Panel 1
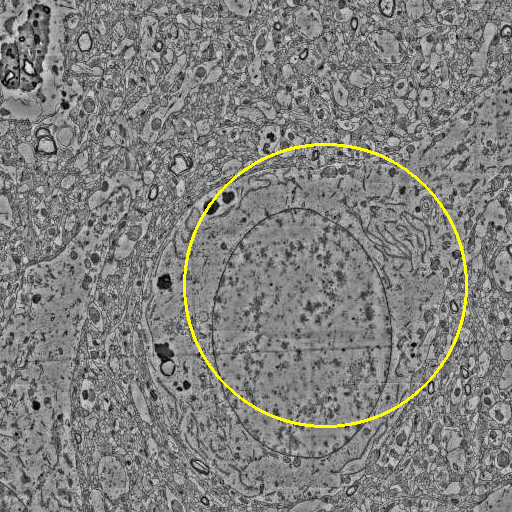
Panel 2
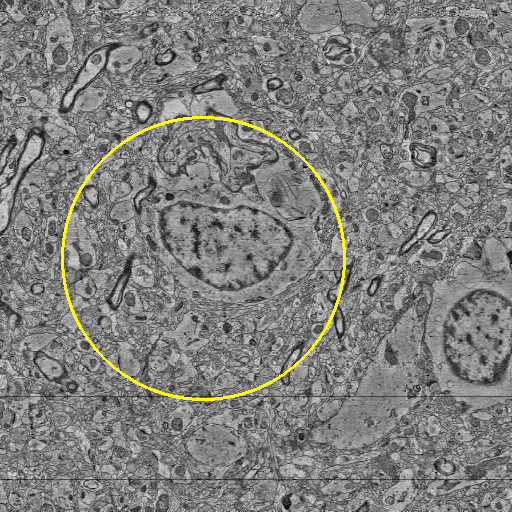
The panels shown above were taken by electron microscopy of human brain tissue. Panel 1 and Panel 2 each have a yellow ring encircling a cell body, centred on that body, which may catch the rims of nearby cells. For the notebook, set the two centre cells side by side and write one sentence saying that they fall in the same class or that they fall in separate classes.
The centred cells of Panel 1 and Panel 2 fall in separate classes.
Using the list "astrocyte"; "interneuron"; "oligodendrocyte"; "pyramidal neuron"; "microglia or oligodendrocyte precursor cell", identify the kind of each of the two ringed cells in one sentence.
The first is a pyramidal neuron and the second is a microglial cell or oligodendrocyte precursor cell.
